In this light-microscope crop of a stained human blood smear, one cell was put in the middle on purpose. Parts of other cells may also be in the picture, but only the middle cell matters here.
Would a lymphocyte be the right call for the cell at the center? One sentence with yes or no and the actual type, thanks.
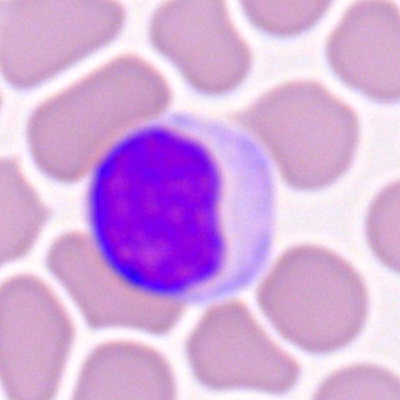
Yes, the cell in the middle of the view is a lymphocyte.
